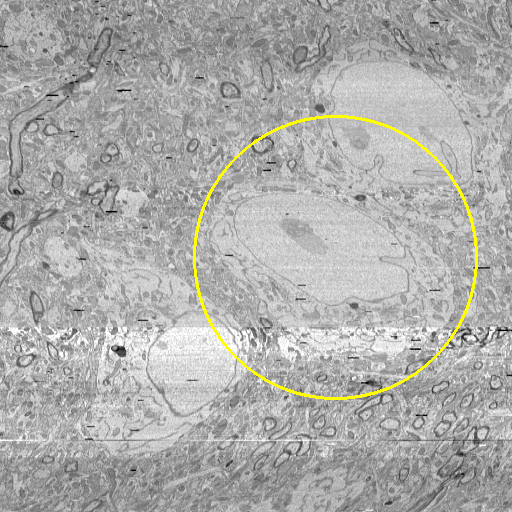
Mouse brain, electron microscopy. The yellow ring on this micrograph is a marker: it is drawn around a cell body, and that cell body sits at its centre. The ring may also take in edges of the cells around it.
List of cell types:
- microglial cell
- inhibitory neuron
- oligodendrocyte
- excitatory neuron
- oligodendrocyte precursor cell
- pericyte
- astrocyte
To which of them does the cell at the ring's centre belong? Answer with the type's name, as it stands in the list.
excitatory neuron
